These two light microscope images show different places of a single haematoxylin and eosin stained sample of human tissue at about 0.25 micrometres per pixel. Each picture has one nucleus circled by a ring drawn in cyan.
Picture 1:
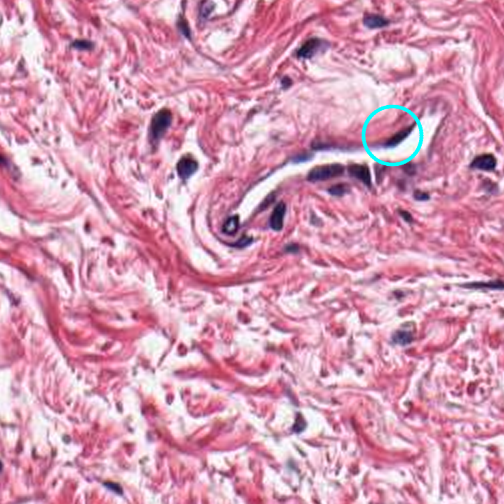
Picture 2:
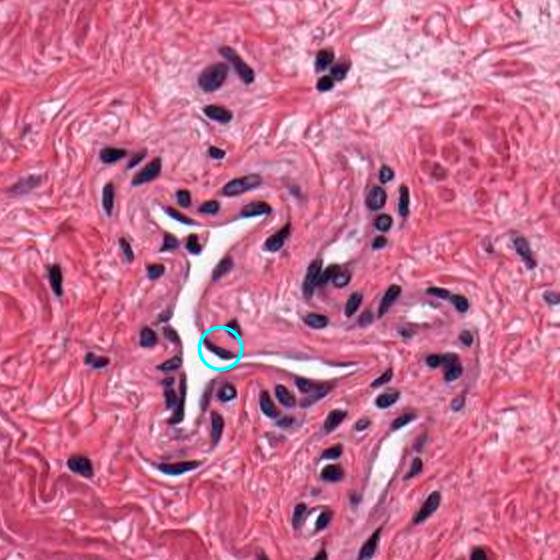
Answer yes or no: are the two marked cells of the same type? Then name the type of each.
Yes, both are endothelial cells.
